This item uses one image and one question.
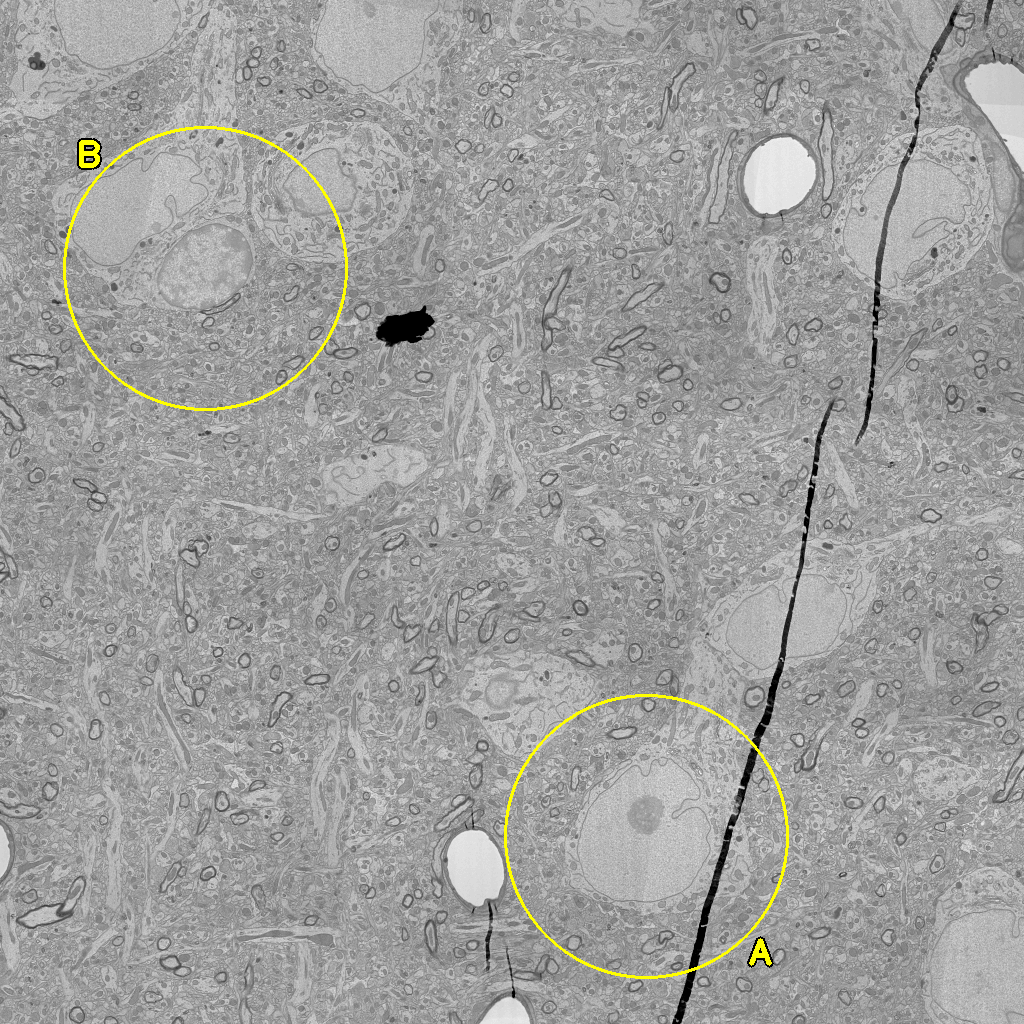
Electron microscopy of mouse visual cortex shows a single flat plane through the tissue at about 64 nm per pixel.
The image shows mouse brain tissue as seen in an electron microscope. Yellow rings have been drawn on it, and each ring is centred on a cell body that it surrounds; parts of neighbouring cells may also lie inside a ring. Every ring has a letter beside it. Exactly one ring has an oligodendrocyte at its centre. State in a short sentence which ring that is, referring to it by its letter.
Ring B has that cell at its centre.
